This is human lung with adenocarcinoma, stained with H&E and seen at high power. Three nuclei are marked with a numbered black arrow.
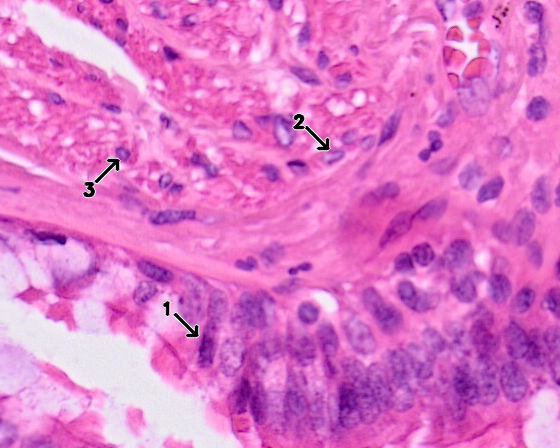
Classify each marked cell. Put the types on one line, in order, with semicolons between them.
ciliated epithelial cell; smooth muscle cell or pericyte; smooth muscle cell or pericyte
